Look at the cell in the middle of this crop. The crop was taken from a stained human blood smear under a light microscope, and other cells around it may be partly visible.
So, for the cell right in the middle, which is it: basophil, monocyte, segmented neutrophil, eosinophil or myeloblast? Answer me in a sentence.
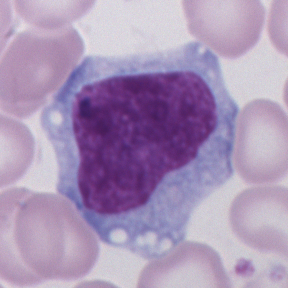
Occupying the centre of the crop is a monocyte.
